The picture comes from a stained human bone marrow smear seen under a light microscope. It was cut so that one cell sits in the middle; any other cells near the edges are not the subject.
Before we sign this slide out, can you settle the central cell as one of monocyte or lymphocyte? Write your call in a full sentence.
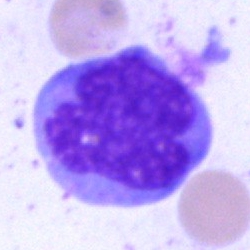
The cell sitting right in the middle is a monocyte.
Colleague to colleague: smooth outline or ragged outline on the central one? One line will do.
In short, the margin is smooth with no projections at all.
